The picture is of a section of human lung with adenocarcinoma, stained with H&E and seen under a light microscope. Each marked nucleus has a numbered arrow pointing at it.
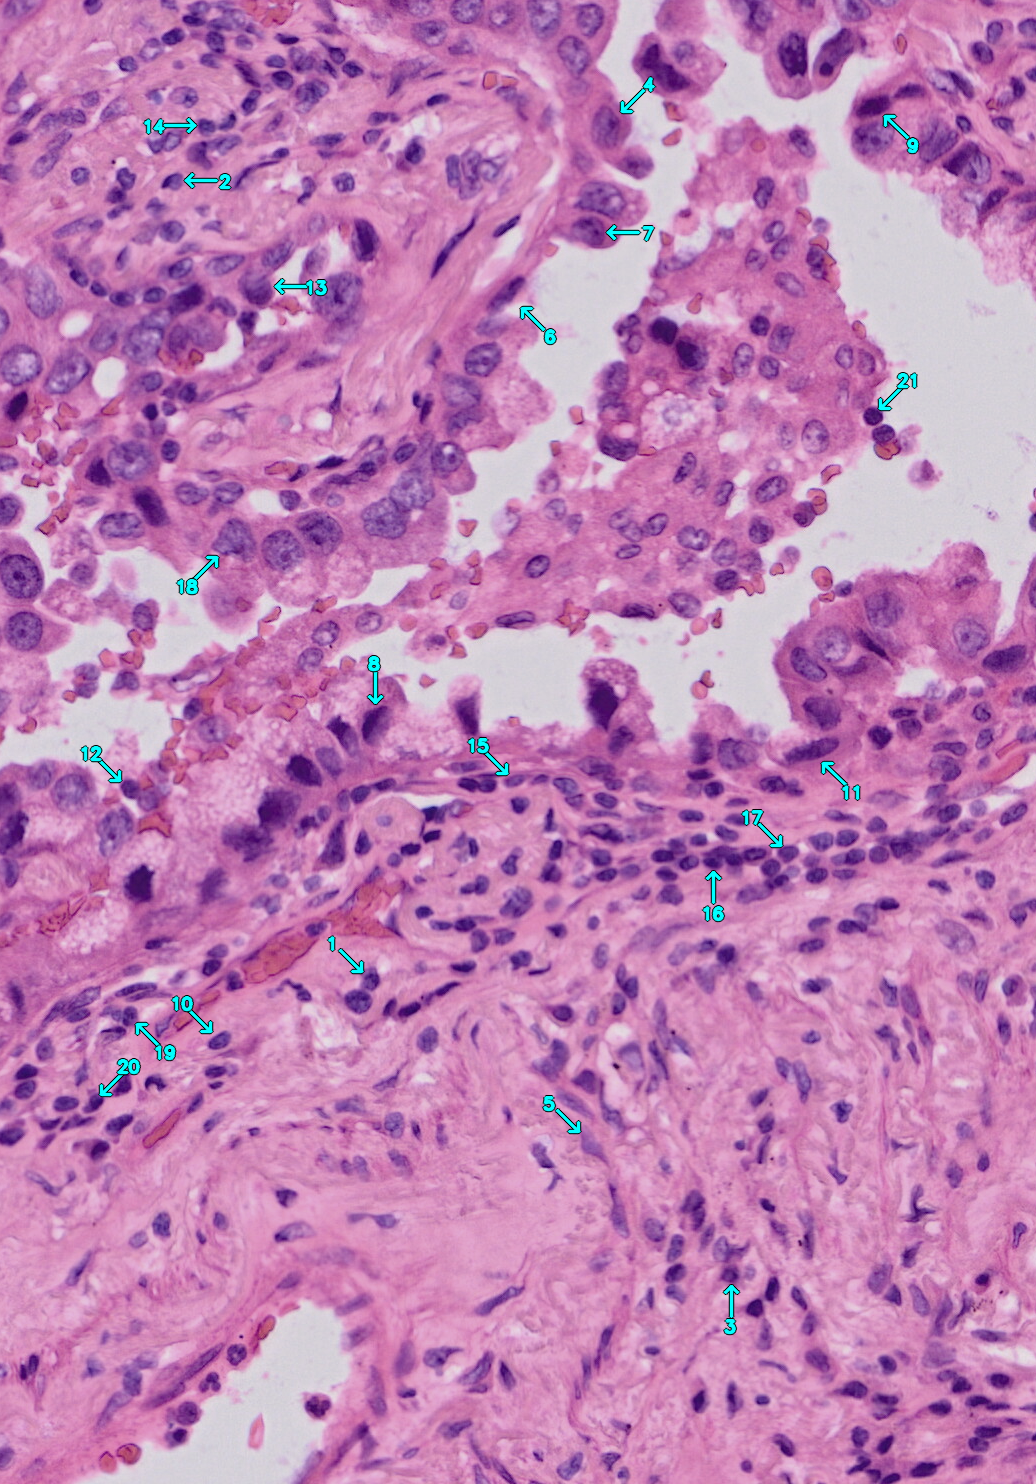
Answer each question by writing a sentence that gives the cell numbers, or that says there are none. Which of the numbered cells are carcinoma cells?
So, the cells with numbers 4, 6, 7, 8, 9, 11, 13 and 18 are carcinoma cells.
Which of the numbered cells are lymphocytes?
The cells with numbers 1, 2, 10, 12, 14, 15, 16, 17, 19, 20 and 21 are lymphocytes by type.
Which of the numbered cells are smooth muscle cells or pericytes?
Cell 5 is a smooth muscle cell or pericyte, which is true of none of the other numbered cells.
